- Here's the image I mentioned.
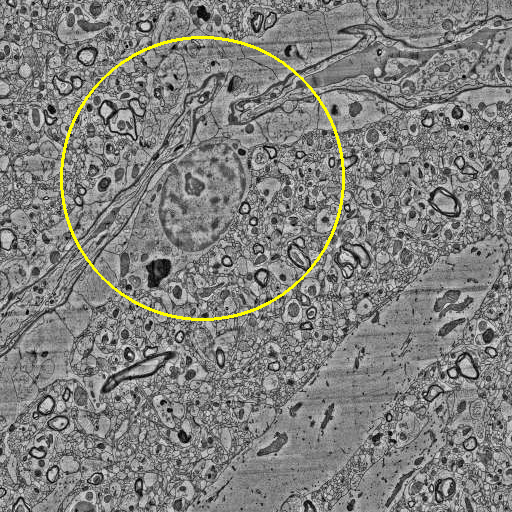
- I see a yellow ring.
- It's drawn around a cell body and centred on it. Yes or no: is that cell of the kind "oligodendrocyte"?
yes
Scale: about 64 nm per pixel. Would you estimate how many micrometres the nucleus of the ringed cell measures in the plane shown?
In this plane the nucleus measures roughly 7 by 5 micrometres.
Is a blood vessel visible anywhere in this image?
Yes, one is visible.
